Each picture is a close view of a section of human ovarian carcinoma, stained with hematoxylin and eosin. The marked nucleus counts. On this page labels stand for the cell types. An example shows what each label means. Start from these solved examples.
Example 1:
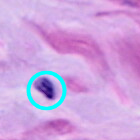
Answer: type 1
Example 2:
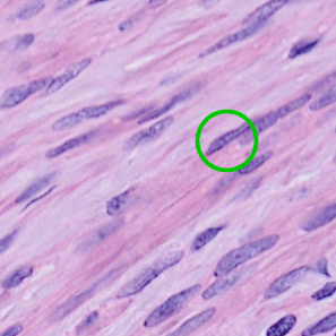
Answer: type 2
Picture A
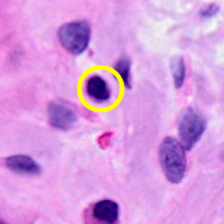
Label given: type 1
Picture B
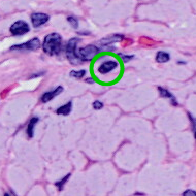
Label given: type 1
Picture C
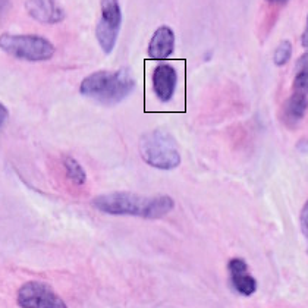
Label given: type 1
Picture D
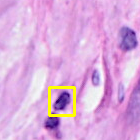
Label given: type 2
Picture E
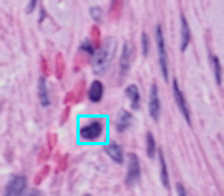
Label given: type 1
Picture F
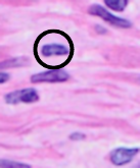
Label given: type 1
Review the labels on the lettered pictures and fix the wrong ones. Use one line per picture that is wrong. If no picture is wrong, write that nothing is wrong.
D should be type 1, not type 2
